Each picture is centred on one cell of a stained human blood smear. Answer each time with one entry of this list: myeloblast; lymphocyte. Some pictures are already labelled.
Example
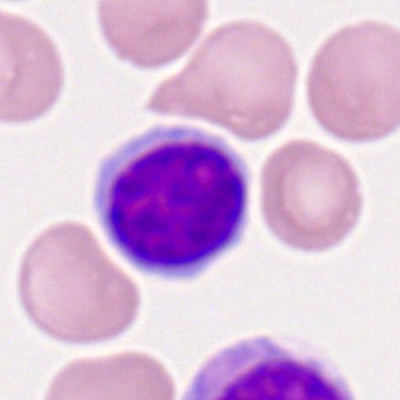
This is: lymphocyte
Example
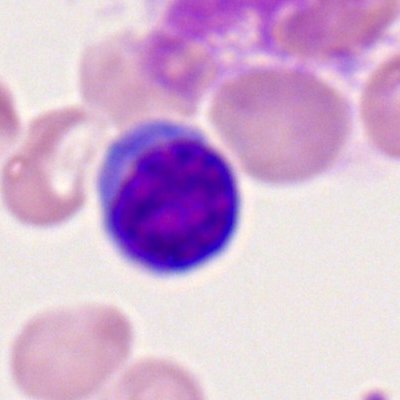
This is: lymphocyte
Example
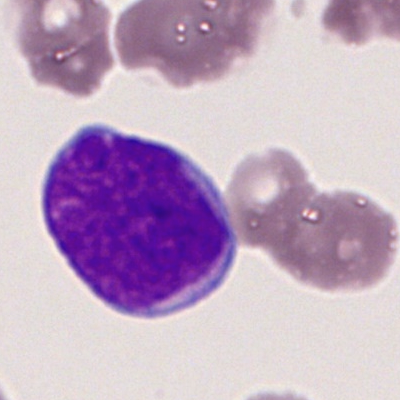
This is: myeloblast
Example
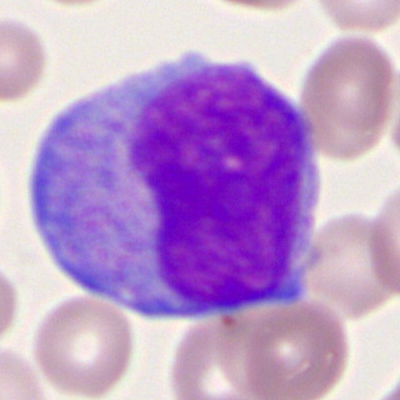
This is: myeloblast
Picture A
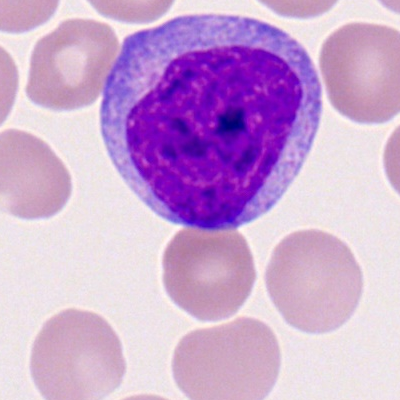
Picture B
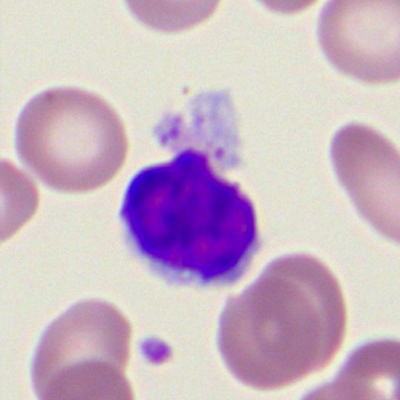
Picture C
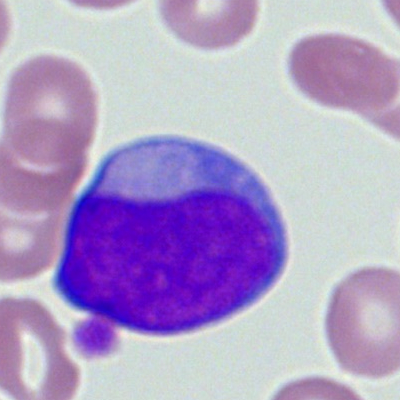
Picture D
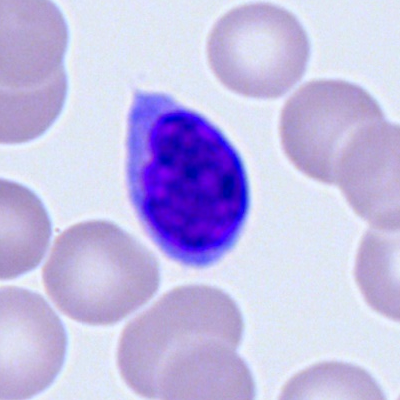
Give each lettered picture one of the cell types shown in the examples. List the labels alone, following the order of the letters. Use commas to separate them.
myeloblast, lymphocyte, myeloblast, lymphocyte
